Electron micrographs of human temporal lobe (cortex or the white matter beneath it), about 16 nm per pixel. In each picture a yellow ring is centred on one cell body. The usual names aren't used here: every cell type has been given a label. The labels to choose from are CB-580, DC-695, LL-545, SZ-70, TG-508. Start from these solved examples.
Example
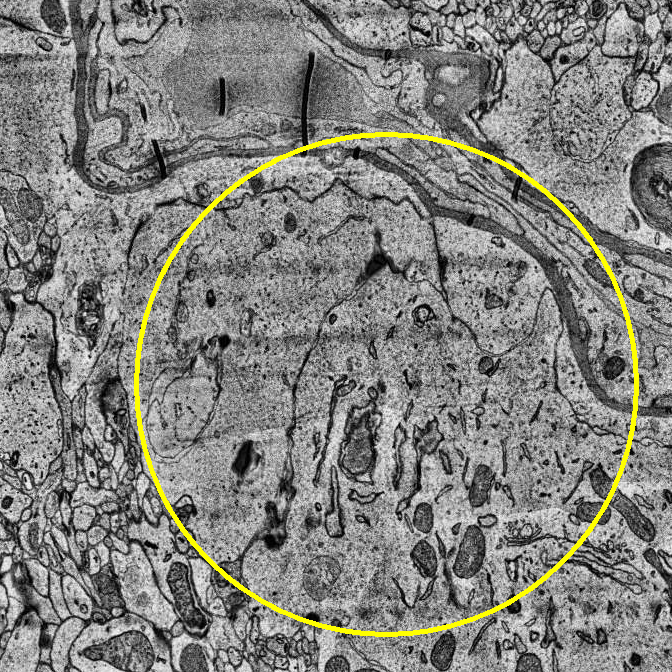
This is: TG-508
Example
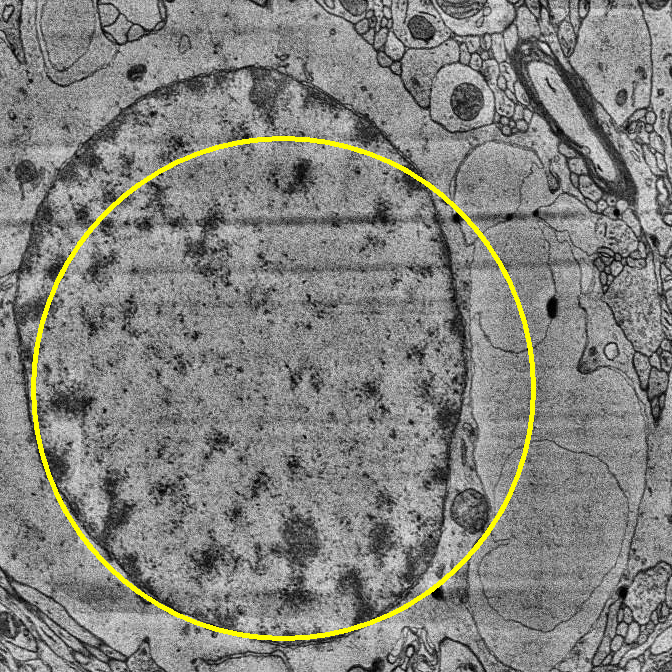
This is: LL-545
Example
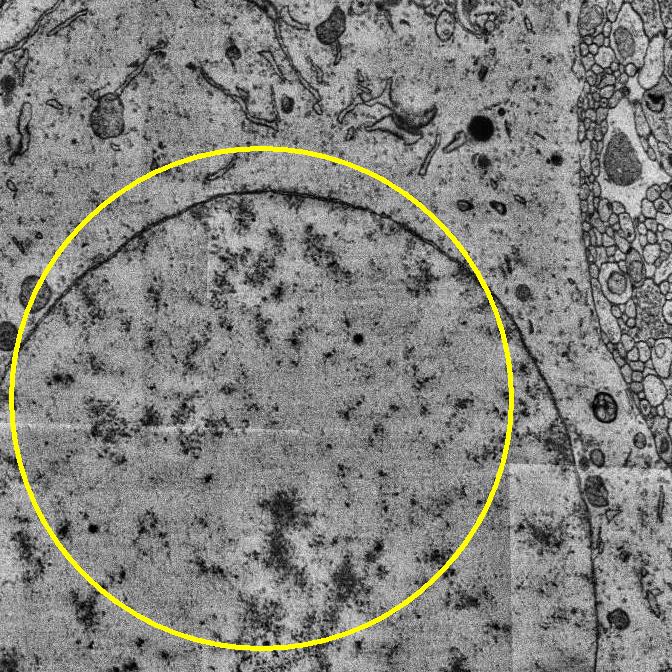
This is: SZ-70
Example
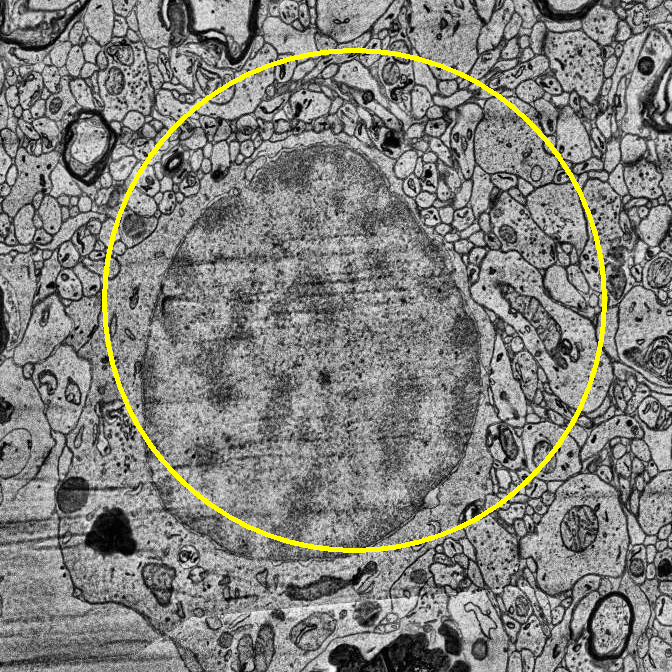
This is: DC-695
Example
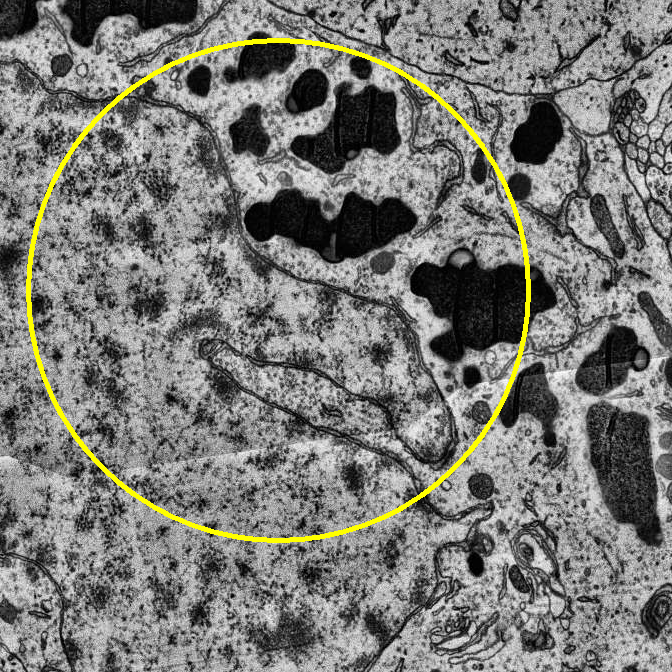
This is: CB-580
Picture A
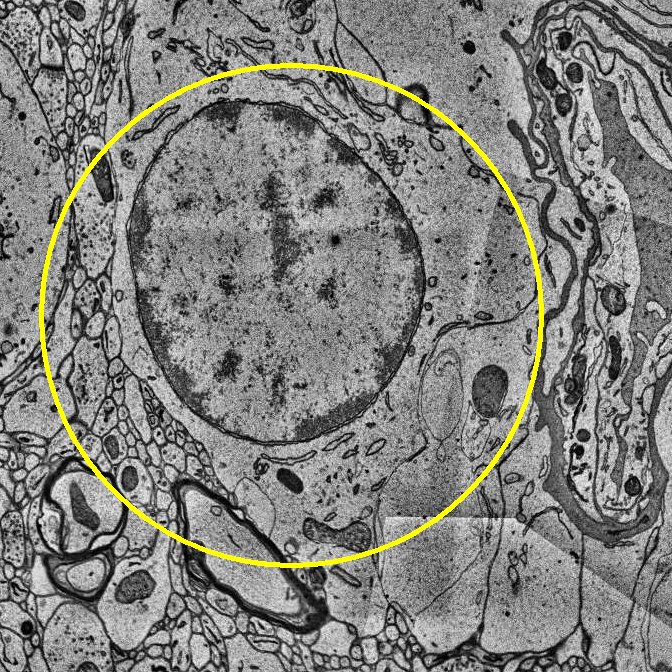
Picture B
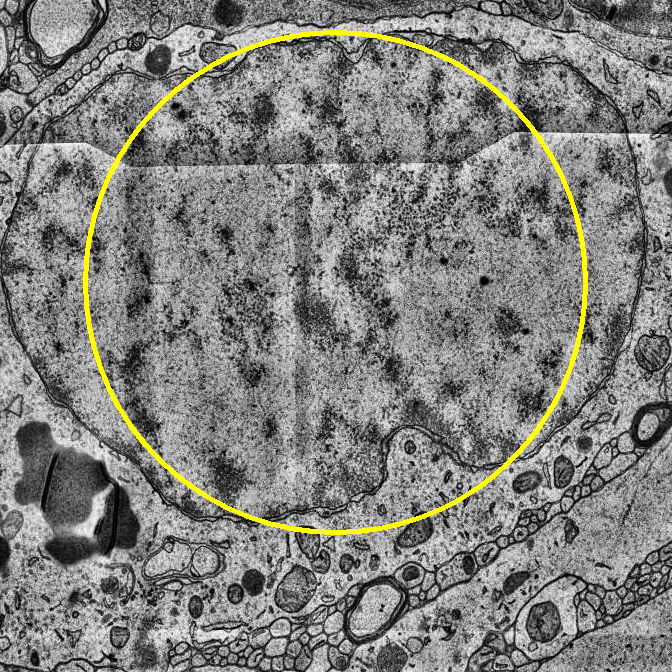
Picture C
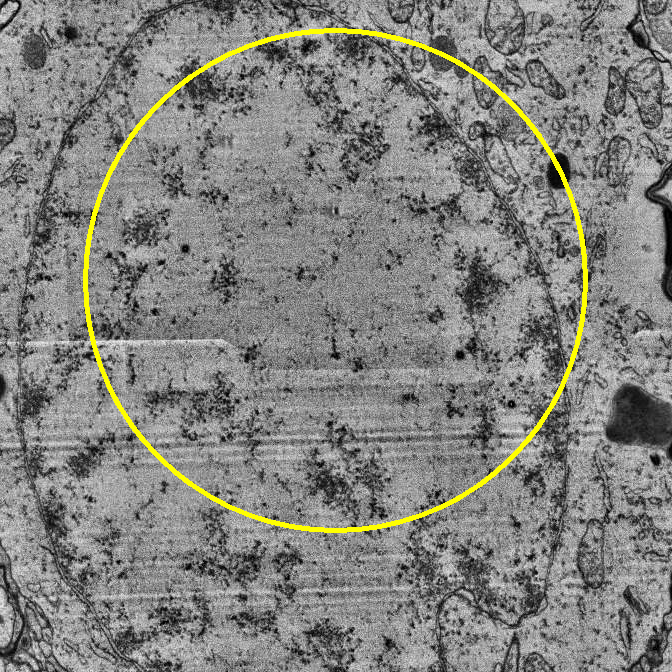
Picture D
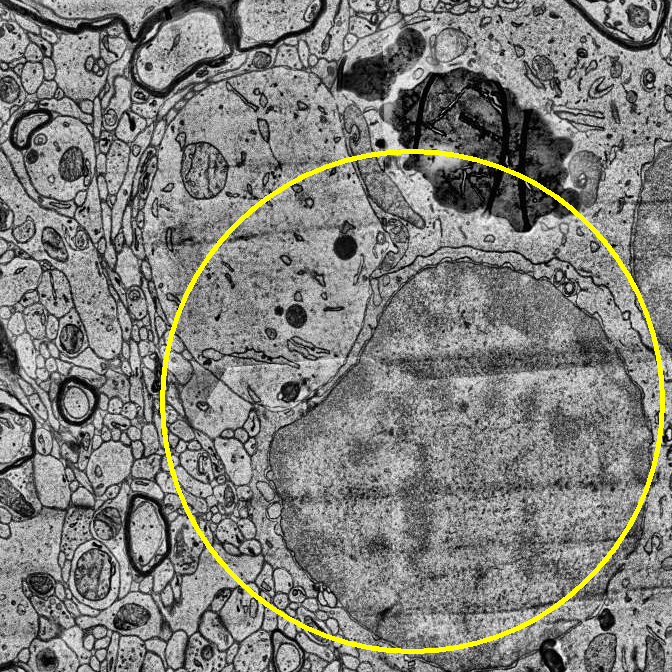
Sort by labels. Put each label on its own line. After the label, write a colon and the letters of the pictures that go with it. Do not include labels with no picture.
CB-580: B, C
DC-695: D
TG-508: A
